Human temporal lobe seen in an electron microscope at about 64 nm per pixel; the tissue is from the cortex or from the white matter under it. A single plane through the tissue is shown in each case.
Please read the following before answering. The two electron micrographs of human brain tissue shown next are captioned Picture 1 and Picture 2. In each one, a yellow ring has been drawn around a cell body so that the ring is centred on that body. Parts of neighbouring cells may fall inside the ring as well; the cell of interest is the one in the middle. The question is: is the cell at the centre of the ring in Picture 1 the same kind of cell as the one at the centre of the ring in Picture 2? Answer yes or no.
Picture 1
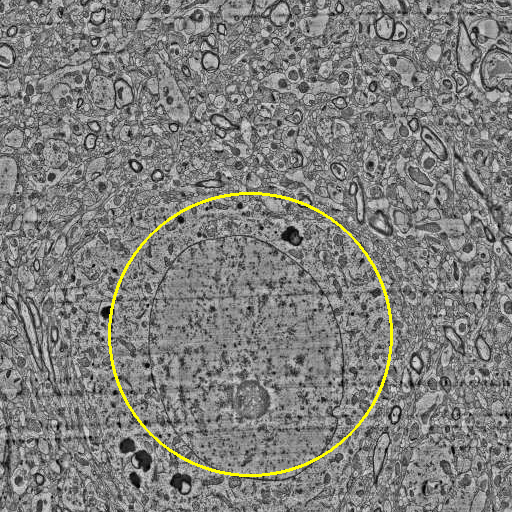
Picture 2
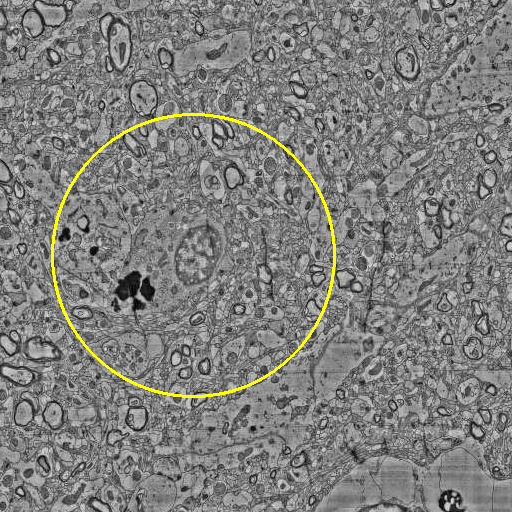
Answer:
no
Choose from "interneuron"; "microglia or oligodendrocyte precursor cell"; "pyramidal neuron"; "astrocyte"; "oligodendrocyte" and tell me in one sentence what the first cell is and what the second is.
What the first ring is centred on is a pyramidal neuron; what the second ring is centred on is an oligodendrocyte.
